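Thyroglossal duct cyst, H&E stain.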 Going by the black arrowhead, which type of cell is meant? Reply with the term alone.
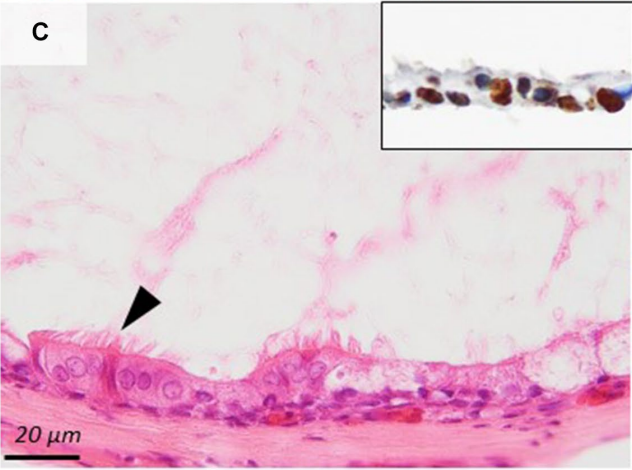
ciliated cuboidal cells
